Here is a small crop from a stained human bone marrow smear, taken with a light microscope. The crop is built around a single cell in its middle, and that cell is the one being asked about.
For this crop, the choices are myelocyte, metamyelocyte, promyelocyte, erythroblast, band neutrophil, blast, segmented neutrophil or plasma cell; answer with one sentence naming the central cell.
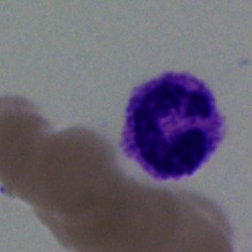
The cell marked by its central position in the crop is a segmented neutrophil.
